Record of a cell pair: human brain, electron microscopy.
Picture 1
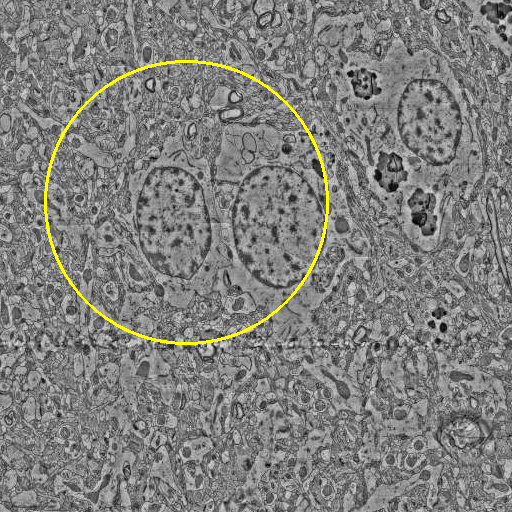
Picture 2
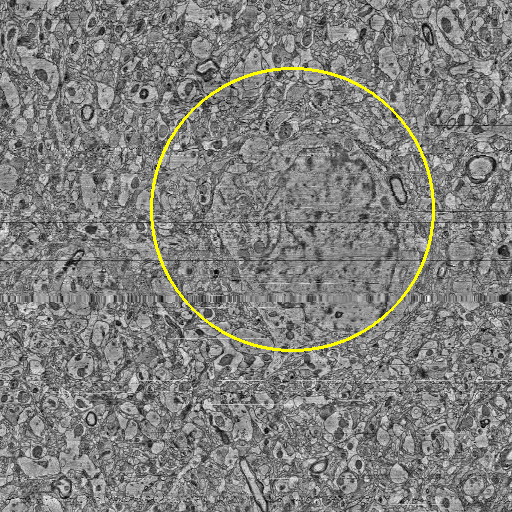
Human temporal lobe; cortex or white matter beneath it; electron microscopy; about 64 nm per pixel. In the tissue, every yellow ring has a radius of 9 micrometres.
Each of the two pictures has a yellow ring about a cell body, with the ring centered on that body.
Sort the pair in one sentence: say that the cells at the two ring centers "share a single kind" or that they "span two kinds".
The cells centered in the rings of Pictures 1 and 2 span two kinds.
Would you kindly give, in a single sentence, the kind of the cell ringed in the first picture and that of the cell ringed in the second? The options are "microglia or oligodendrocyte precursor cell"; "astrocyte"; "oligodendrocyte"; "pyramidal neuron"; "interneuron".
The second cell is an interneuron, and the first cell is an astrocyte.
